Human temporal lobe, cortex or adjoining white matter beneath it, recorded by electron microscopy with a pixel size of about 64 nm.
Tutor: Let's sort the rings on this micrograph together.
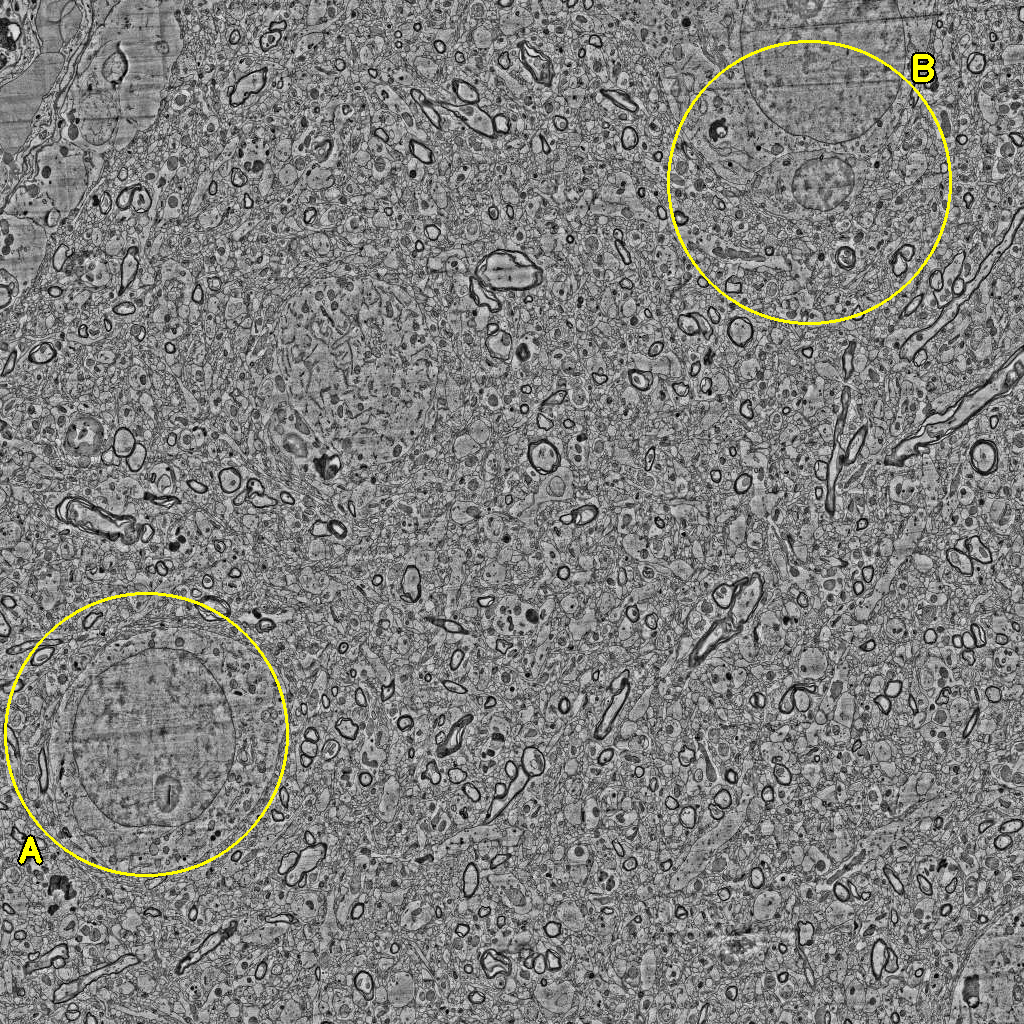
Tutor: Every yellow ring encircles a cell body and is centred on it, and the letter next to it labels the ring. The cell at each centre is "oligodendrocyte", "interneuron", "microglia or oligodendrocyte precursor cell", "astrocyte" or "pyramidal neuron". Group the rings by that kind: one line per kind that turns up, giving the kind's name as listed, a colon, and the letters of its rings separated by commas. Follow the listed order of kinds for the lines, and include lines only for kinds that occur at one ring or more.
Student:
oligodendrocyte: B
pyramidal neuron: A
